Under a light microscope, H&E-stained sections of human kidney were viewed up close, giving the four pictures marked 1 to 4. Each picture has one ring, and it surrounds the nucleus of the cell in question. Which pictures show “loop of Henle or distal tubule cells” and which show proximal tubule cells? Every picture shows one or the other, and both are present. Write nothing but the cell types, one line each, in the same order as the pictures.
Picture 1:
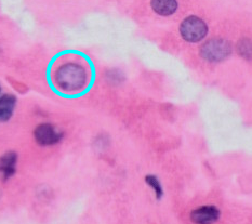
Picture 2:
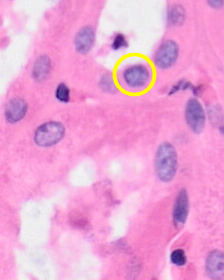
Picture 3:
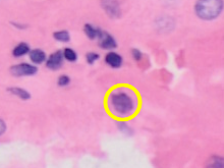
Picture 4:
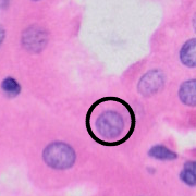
proximal tubule cell
loop of Henle or distal tubule cell
proximal tubule cell
proximal tubule cell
